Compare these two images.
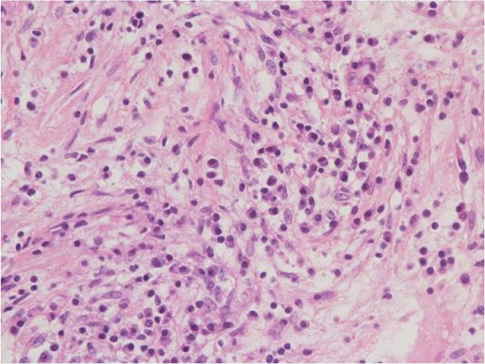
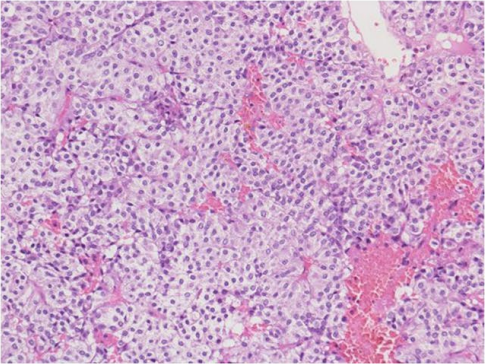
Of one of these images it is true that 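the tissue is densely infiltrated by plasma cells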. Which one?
the first image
